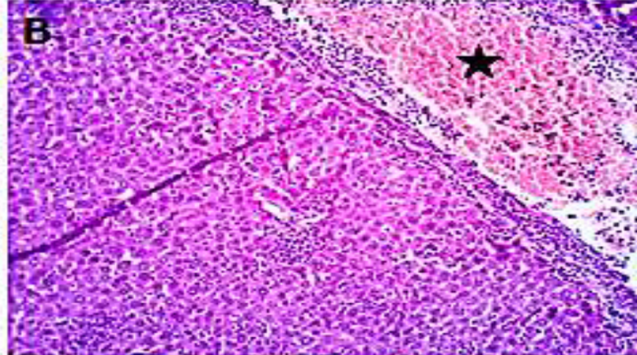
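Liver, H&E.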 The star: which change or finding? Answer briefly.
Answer: Congestion of hepatic blood vessels.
